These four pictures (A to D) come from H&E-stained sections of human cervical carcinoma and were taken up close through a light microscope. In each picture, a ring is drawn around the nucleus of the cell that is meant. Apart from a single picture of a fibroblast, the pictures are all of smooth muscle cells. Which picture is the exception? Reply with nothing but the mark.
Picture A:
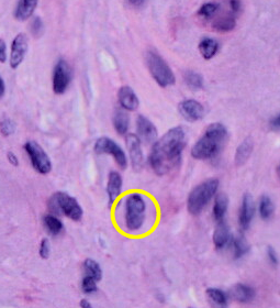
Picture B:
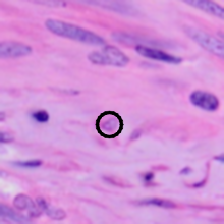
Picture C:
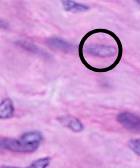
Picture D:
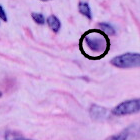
A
